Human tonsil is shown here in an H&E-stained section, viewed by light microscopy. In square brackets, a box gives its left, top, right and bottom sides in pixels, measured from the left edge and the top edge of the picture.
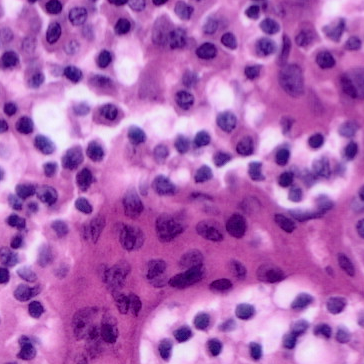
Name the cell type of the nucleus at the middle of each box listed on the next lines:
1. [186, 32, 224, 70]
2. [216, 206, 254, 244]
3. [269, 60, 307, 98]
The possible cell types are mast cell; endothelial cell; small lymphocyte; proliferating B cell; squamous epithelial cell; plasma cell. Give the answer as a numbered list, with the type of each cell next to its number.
1. plasma cell
2. squamous epithelial cell
3. squamous epithelial cell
